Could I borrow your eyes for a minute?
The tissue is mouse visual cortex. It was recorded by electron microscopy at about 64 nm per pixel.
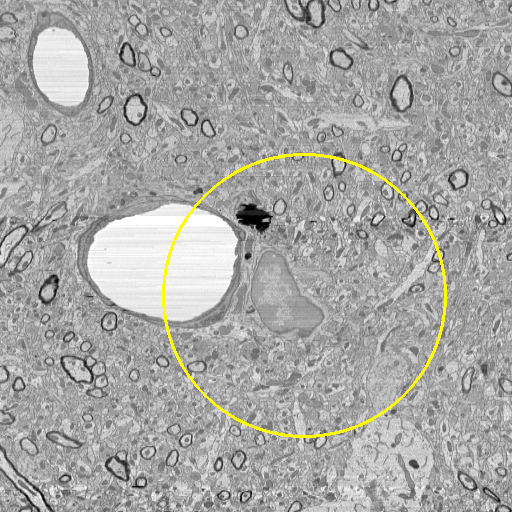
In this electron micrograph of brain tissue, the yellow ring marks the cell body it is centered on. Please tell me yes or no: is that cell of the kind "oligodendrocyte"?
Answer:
no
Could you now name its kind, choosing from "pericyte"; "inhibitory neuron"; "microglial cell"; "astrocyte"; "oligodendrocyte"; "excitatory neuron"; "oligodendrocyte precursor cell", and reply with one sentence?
The cell shown in the ring is a microglial cell.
